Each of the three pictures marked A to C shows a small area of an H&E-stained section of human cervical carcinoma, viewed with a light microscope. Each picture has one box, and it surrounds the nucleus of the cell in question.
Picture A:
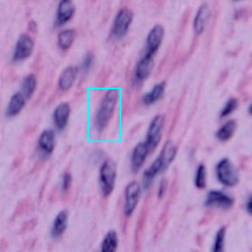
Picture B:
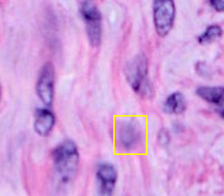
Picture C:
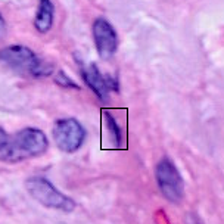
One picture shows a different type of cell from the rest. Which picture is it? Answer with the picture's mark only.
C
